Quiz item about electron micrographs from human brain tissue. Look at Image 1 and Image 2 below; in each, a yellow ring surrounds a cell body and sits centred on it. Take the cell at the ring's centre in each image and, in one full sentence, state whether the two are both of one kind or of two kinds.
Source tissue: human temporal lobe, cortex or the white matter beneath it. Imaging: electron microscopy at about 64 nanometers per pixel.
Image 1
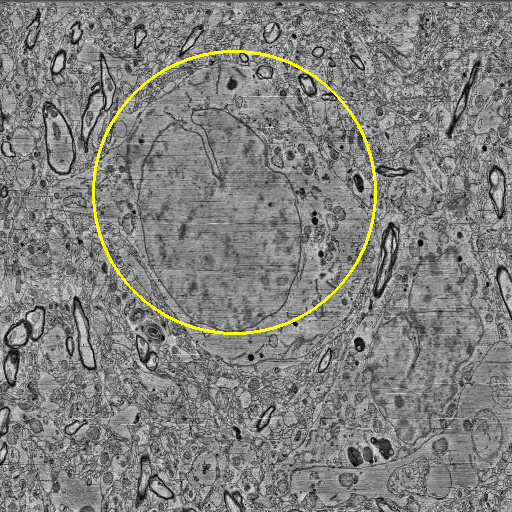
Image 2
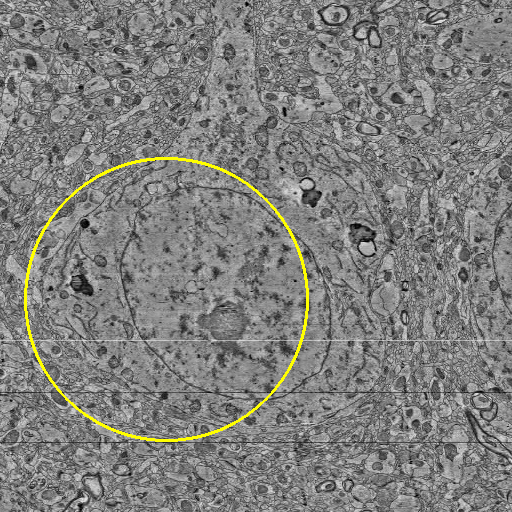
In Image 1 and Image 2, the cells at the ring centres are both of one kind.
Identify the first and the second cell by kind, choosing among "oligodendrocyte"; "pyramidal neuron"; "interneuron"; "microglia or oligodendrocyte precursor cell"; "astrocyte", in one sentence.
Each of the two rings is centred on a pyramidal neuron.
